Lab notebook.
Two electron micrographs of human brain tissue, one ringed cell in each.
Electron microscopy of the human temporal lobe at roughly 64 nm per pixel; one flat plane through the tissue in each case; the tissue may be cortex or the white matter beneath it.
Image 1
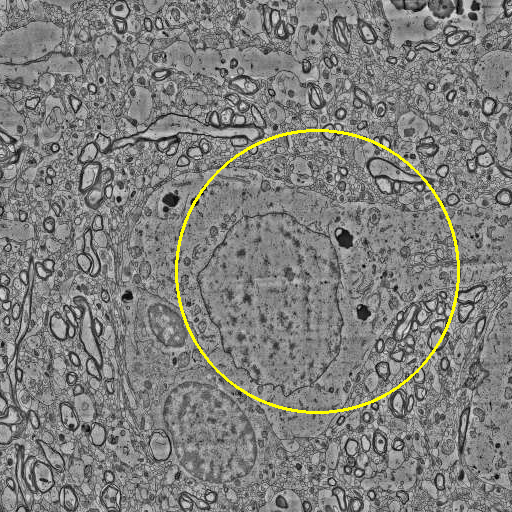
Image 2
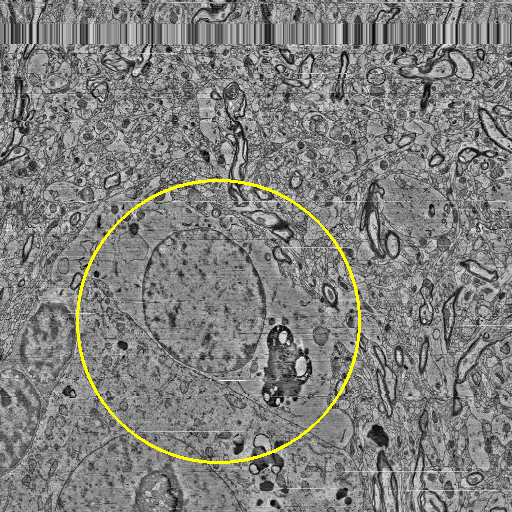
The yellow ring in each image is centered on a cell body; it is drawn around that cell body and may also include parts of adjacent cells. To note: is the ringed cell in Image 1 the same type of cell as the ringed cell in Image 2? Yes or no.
no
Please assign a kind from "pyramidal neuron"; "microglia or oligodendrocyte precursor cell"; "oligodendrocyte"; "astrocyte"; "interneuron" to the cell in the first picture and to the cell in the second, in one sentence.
In the first picture we have a pyramidal neuron, and in the second, an astrocyte.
